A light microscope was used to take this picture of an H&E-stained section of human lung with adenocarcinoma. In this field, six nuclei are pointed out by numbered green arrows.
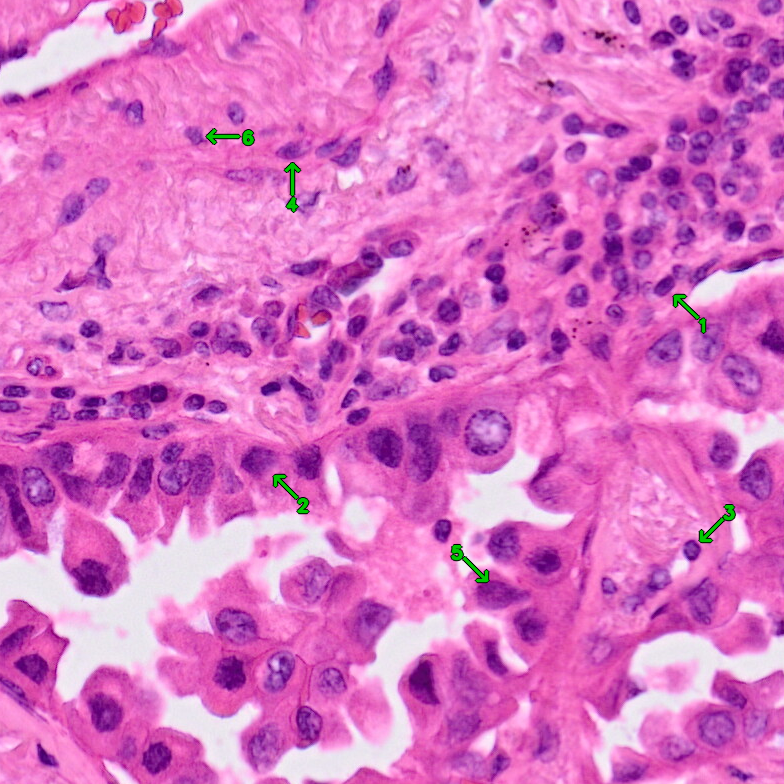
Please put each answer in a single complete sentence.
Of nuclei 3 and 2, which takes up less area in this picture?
Nucleus 3 covers less area, with nucleus 2 about 3 times as large.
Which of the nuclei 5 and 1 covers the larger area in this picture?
The larger nucleus is 5, at roughly 4 times the area of 1.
